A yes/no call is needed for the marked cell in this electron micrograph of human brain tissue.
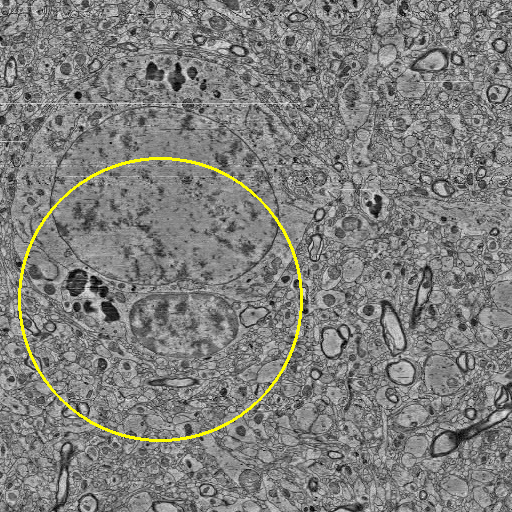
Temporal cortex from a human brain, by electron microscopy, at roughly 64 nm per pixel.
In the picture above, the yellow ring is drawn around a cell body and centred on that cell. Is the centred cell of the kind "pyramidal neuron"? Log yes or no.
no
